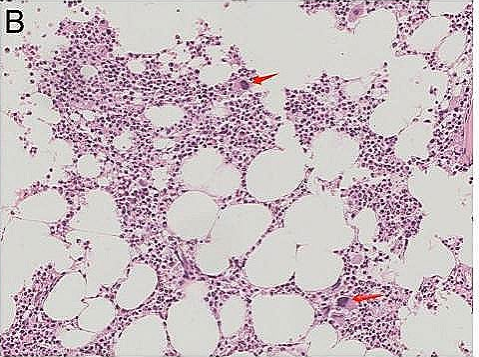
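Bone marrow section, with many round, empty fat spaces separated by cords of small, densely packed hematopoietic cells with dark nuclei. A few much larger megakaryocytes lie scattered among these cells.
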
